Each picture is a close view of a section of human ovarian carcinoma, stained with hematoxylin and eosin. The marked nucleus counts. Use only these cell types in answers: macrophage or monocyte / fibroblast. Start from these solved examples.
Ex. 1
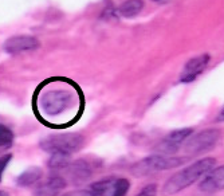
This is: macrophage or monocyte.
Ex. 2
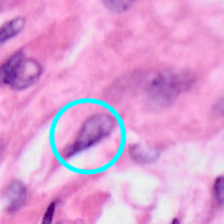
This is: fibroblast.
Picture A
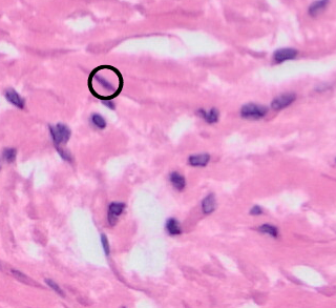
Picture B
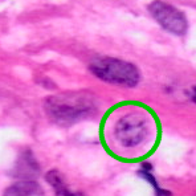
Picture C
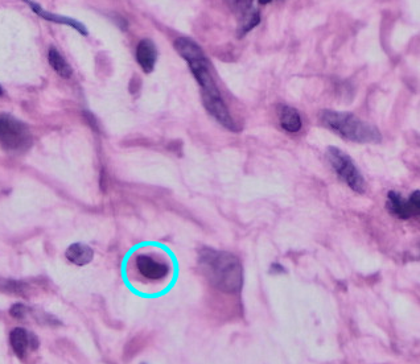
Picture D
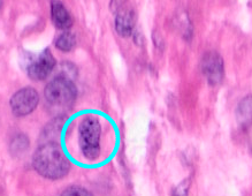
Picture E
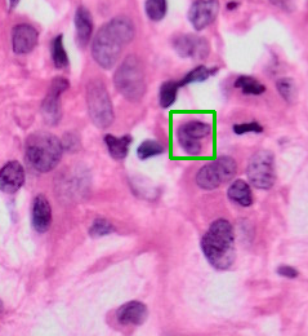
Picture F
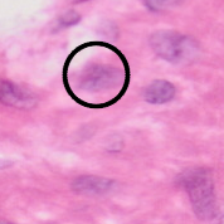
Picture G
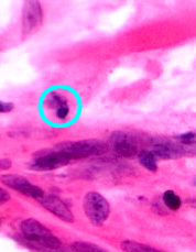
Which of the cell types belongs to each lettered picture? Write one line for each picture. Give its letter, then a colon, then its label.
A: fibroblast.
B: macrophage or monocyte.
C: macrophage or monocyte.
D: macrophage or monocyte.
E: macrophage or monocyte.
F: fibroblast.
G: macrophage or monocyte.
